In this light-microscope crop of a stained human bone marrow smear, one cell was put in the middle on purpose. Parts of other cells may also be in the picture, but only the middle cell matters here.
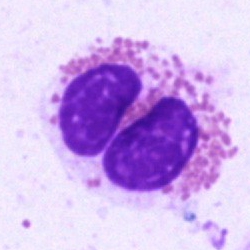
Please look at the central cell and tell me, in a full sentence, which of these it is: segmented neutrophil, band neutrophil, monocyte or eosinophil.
The centered cell in this crop is an eosinophil.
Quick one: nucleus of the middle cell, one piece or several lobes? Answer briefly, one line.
Look at the nucleus and you will find it divided into two or more lobes.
